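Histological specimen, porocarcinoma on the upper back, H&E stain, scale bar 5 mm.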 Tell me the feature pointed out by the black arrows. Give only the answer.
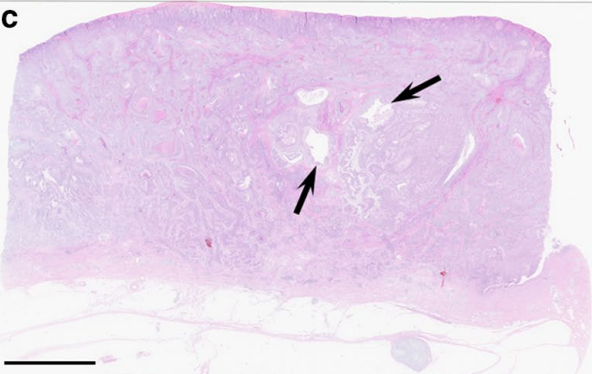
Cystic areas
